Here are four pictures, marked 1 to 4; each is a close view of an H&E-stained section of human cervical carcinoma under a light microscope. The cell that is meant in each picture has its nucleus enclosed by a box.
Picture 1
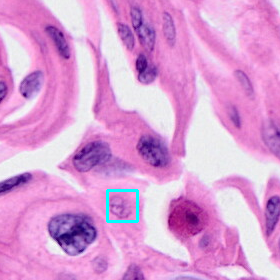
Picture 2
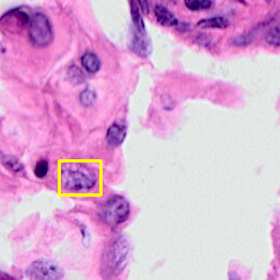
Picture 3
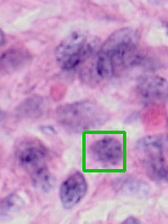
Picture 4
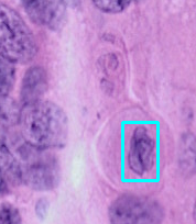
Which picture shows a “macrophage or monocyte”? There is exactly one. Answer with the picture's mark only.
3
